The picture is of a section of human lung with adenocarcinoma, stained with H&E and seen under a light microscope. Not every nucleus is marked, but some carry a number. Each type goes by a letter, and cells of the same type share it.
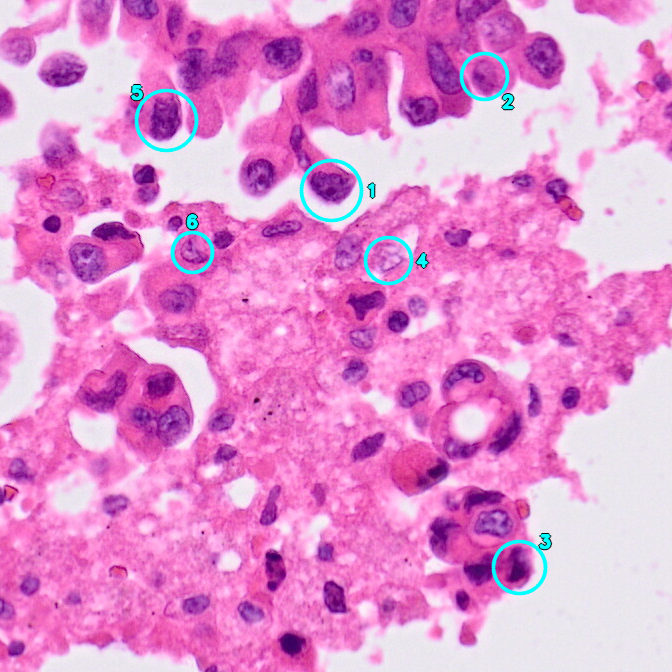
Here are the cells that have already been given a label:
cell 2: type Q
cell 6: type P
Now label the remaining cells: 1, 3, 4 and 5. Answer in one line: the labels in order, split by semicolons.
type Q; type Q; type P; type Q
